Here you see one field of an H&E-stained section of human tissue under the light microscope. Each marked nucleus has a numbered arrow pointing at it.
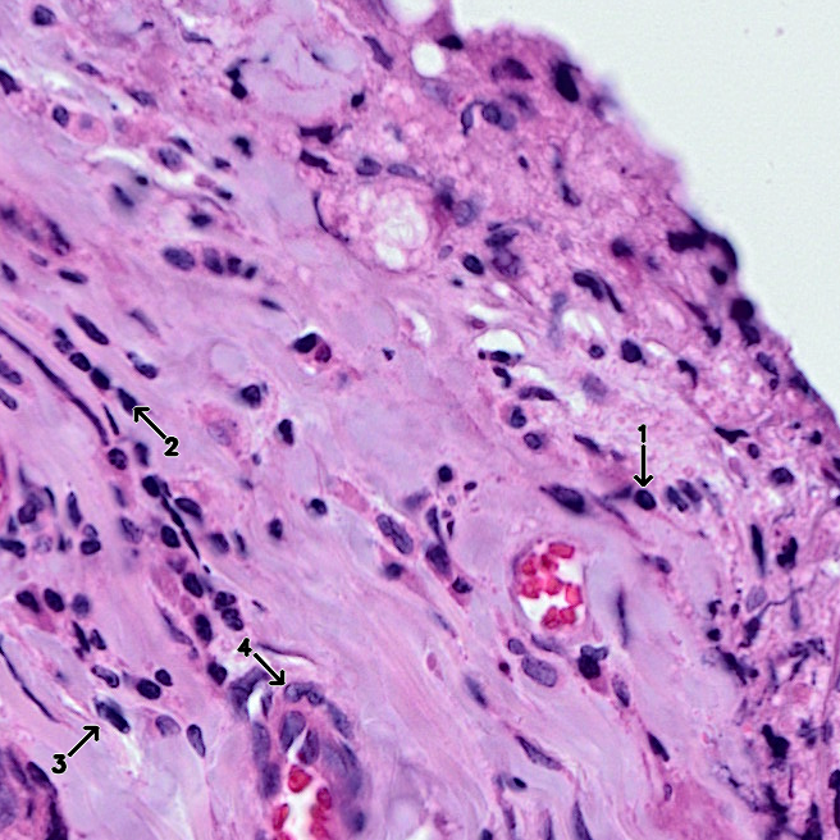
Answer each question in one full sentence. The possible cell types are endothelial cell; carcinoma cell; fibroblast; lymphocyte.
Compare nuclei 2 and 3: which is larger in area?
It is nucleus 3, which covers about 2 times the area of nucleus 2.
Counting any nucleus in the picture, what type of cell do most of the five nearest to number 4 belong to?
The majority of the five nuclei closest to number 4 belong to fibroblasts.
